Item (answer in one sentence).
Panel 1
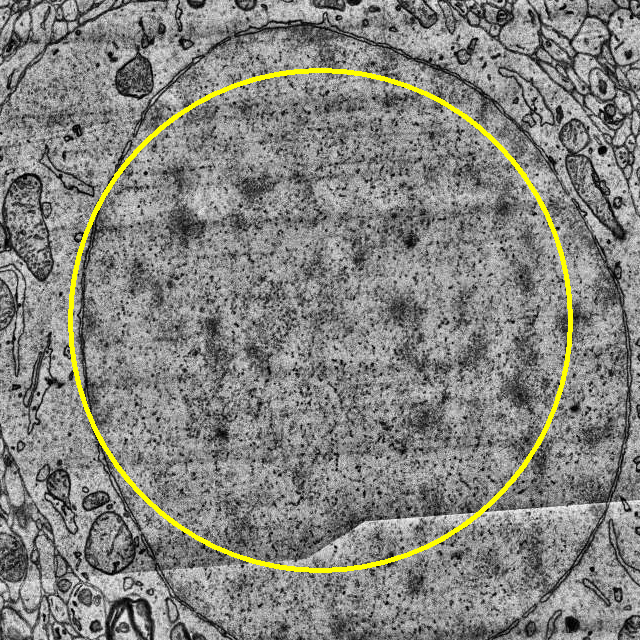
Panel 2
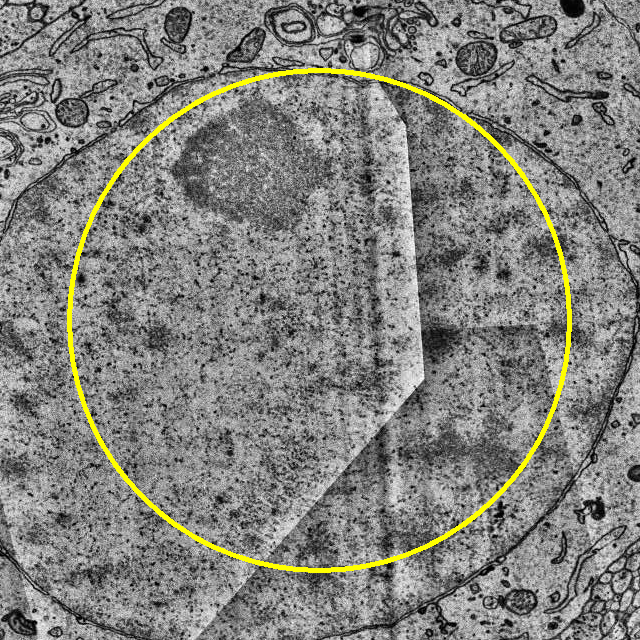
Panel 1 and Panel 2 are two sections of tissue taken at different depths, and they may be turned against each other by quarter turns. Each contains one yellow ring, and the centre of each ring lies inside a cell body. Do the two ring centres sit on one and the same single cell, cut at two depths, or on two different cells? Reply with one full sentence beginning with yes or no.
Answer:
Yes, the two yellow circles hold the same cell.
